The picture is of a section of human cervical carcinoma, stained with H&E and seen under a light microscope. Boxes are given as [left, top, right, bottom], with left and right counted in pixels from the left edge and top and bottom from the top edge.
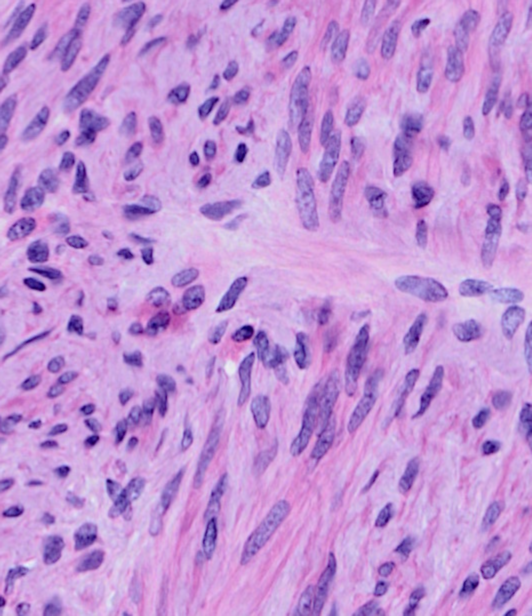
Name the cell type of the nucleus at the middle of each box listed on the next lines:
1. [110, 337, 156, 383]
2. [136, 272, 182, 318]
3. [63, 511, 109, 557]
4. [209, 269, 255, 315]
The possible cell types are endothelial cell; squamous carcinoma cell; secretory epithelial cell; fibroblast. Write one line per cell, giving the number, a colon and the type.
1: fibroblast
2: endothelial cell
3: fibroblast
4: fibroblast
